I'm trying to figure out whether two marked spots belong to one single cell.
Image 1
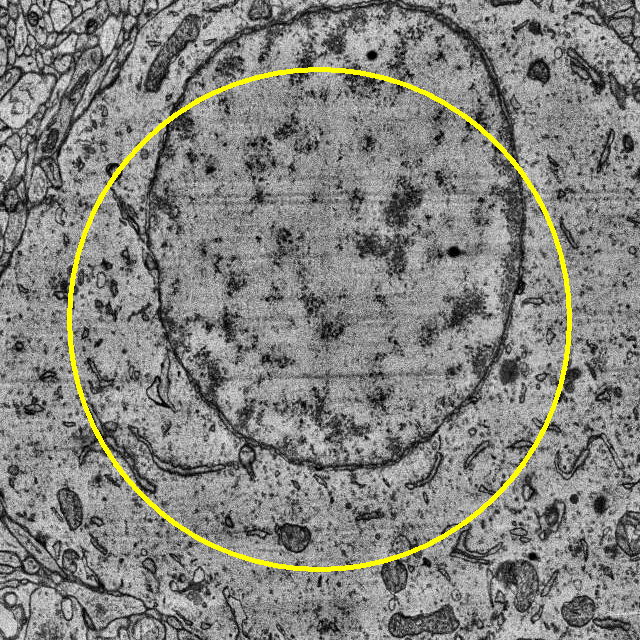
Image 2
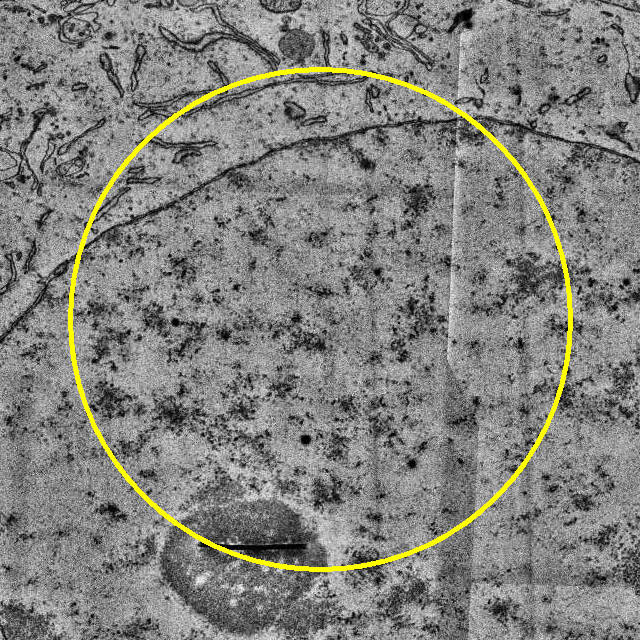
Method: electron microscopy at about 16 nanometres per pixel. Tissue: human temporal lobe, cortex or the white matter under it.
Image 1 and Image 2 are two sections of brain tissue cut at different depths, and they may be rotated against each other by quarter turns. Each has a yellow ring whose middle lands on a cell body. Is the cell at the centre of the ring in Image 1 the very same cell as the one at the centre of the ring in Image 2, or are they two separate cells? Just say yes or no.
no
